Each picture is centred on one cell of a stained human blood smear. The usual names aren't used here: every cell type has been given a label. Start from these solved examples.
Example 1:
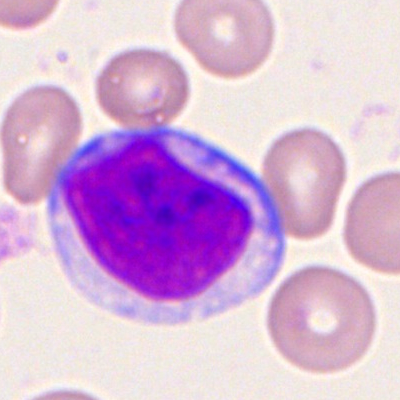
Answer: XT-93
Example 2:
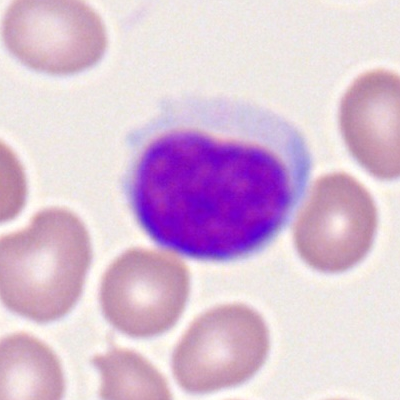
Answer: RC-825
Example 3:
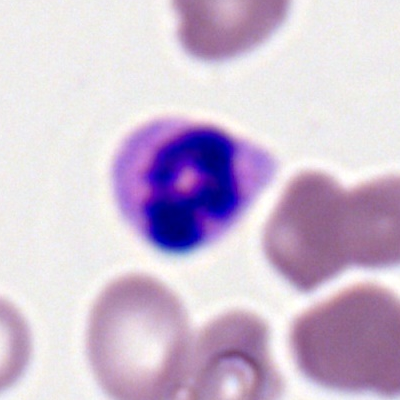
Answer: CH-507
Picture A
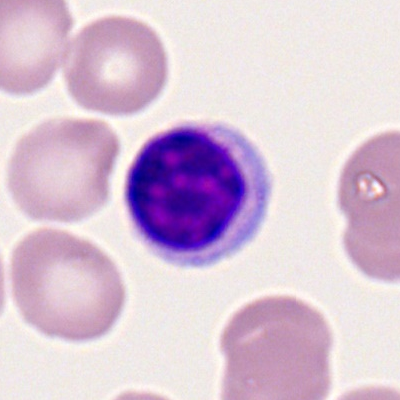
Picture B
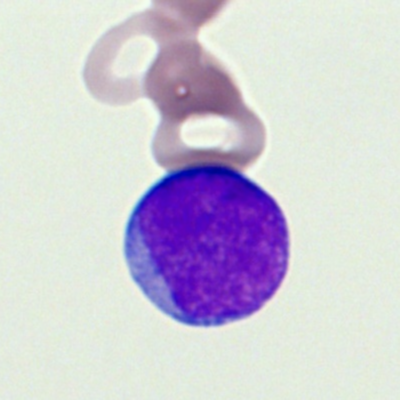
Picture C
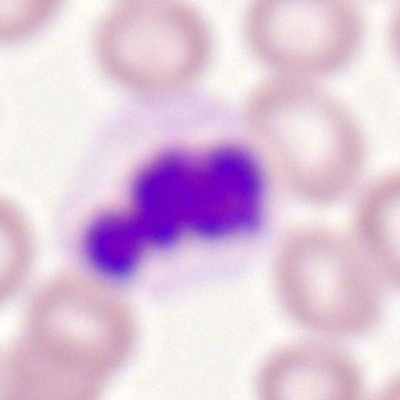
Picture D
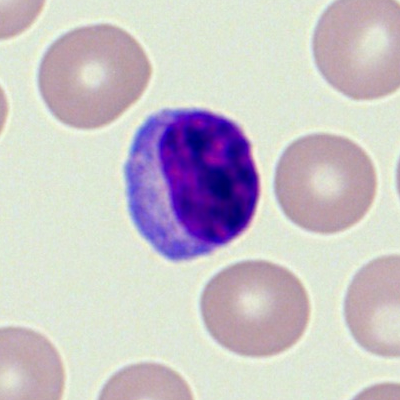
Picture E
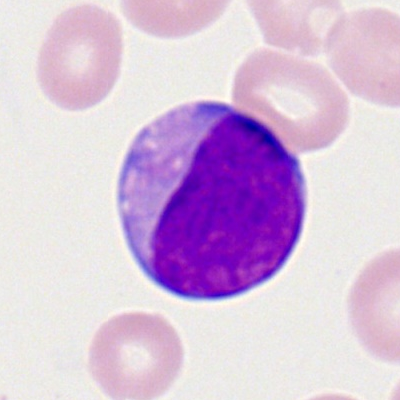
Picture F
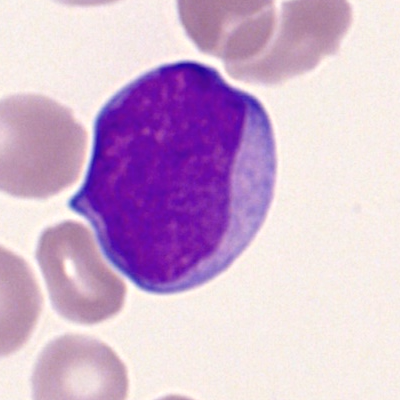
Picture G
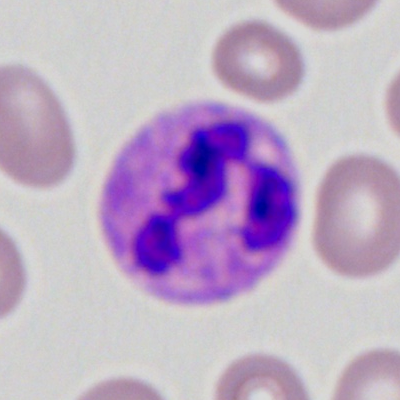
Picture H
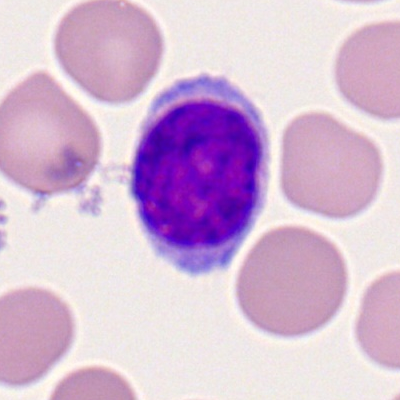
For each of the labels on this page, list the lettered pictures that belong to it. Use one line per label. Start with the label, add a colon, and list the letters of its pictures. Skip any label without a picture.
XT-93: B, E, F
RC-825: A, D, H
CH-507: C, G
